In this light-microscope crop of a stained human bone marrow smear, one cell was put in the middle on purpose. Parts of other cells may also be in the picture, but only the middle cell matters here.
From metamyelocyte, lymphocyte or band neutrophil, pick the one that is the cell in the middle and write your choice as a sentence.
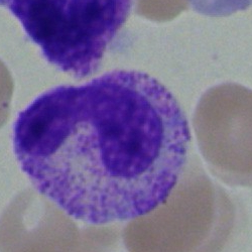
As for the central cell, it is a band neutrophil.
